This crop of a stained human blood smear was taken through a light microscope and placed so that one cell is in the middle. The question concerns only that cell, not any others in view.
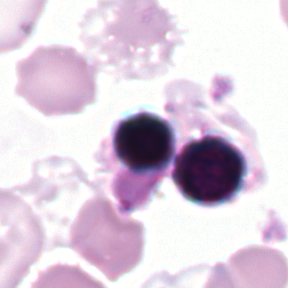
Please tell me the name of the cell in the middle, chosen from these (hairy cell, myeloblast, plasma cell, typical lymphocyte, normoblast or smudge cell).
normoblast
